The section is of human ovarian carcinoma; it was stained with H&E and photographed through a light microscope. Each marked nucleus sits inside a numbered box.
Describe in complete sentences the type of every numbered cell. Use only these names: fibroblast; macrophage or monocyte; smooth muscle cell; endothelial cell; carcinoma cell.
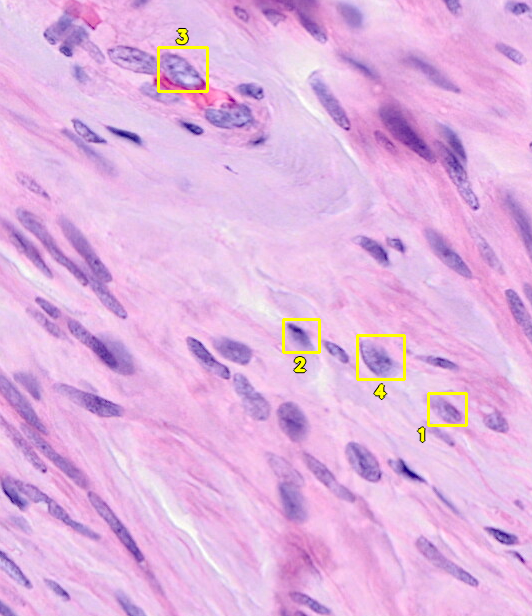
Cell 1 is a smooth muscle cell. Cells 2 and 4 are fibroblasts. Cell 3 is an endothelial cell.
